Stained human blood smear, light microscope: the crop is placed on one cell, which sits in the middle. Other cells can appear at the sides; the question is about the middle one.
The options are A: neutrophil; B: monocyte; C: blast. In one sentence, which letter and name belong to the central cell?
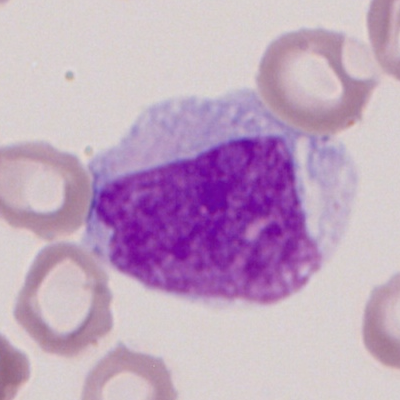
Option B is the correct one; it names the central cell as a monocyte.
